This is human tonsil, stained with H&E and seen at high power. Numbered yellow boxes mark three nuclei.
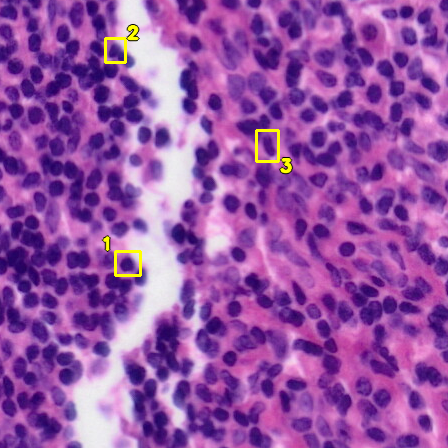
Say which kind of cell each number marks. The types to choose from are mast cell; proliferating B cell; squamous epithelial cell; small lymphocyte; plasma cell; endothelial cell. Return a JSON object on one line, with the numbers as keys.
{"1": "small lymphocyte", "2": "small lymphocyte", "3": "endothelial cell"}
